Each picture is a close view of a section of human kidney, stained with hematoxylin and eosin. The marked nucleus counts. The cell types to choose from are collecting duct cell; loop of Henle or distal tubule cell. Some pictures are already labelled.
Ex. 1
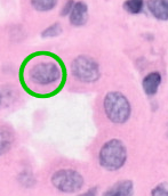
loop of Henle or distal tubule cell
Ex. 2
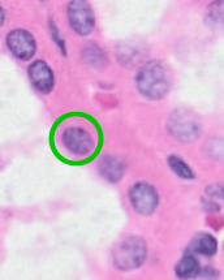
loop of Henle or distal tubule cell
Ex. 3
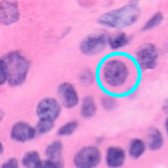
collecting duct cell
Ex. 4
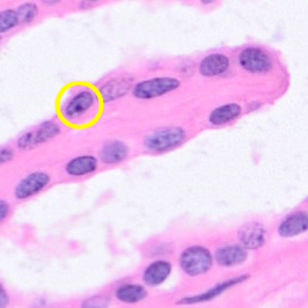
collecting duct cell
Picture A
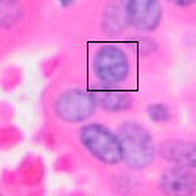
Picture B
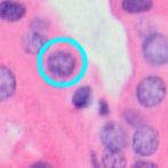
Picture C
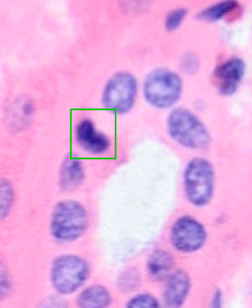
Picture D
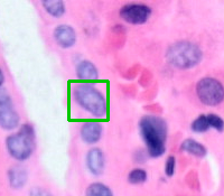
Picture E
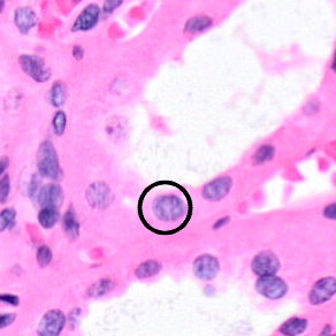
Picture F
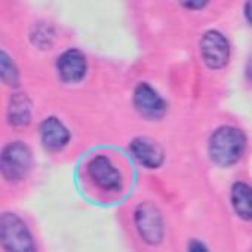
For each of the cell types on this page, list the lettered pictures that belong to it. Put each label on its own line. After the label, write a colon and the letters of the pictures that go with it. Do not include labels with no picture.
collecting duct cell: A, B, C, D
loop of Henle or distal tubule cell: E, F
